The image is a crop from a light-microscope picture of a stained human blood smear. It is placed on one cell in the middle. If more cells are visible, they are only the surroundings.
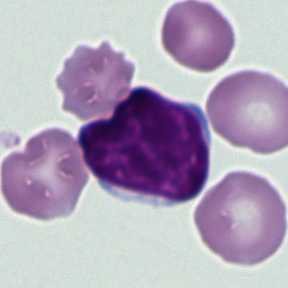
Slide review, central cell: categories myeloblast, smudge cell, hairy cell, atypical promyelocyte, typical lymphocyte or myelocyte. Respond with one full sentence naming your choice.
The identification for the central cell is a typical lymphocyte.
